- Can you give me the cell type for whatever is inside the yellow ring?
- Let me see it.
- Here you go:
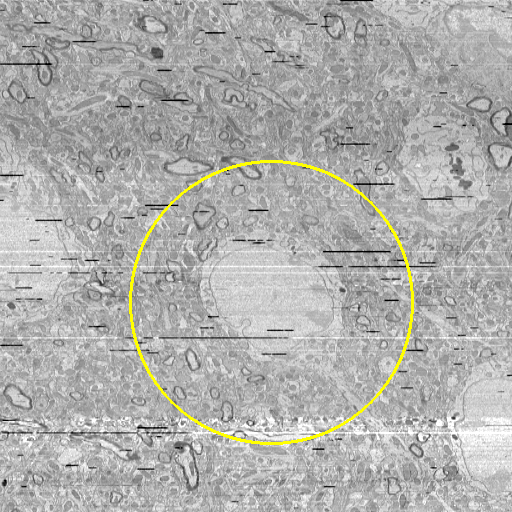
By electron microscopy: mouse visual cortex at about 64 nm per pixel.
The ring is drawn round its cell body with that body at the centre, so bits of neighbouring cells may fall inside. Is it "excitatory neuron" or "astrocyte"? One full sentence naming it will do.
The cell body in the middle of the ring in this picture belongs to an excitatory neuron.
